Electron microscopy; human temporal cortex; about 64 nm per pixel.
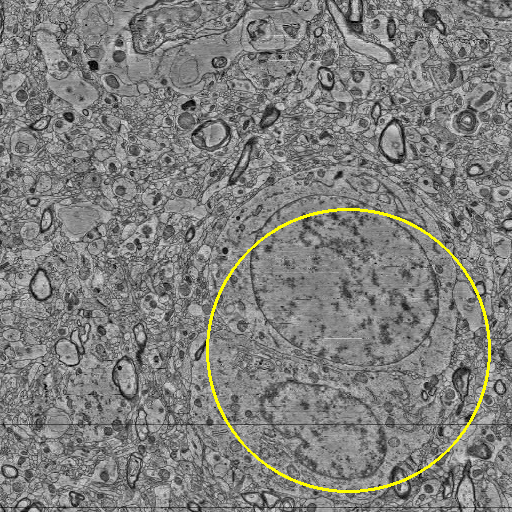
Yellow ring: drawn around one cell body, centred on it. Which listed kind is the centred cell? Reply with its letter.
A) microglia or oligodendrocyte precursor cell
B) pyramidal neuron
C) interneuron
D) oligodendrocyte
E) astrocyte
B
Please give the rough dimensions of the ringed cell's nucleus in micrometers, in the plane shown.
The nucleus of the ringed cell is approximately 13 by 11 micrometres in this plane.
